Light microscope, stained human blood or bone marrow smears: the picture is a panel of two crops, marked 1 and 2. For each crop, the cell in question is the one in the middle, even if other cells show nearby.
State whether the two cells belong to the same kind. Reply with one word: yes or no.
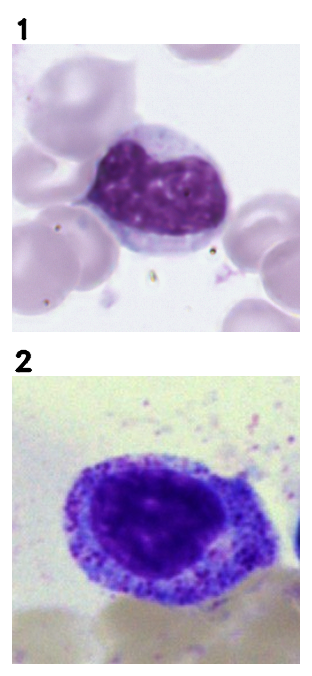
no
